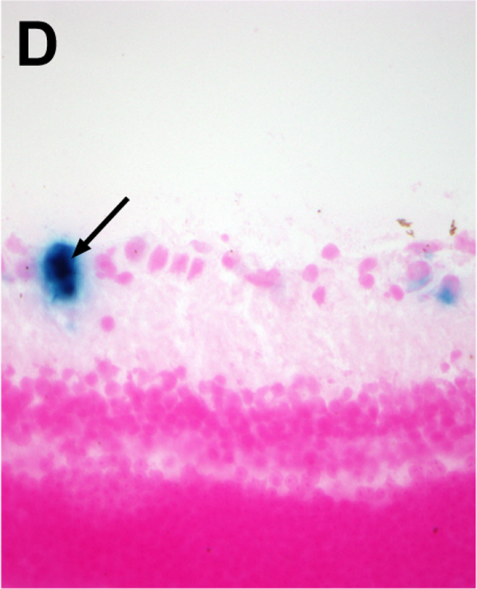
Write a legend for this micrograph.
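This retina section shows pink-red nuclei in a sparse top row forming the ganglion cell layer, a multi-row inner nuclear layer and a dense outer nuclear layer below. One cell at the upper left of the ganglion cell layer is filled with an intense dark blue deposit that hides its nucleus, and the arrow points to it. A fainter blue cell sits near the right edge of the same layer. A pale band with few nuclei separates the ganglion cell row from the inner nuclear layer.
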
